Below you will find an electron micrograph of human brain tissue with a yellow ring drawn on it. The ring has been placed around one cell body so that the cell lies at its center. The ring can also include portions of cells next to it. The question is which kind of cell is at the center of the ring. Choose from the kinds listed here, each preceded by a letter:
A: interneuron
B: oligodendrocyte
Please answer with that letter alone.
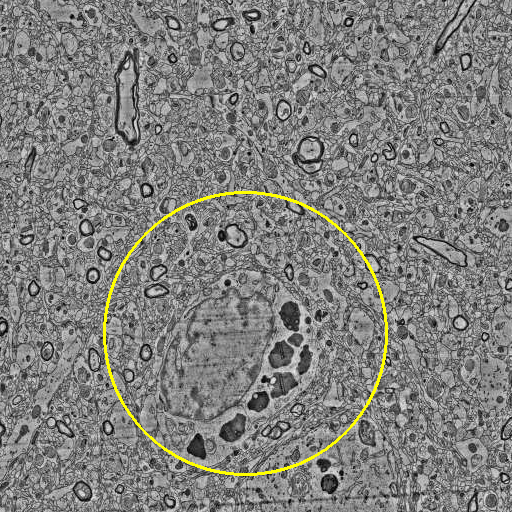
A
